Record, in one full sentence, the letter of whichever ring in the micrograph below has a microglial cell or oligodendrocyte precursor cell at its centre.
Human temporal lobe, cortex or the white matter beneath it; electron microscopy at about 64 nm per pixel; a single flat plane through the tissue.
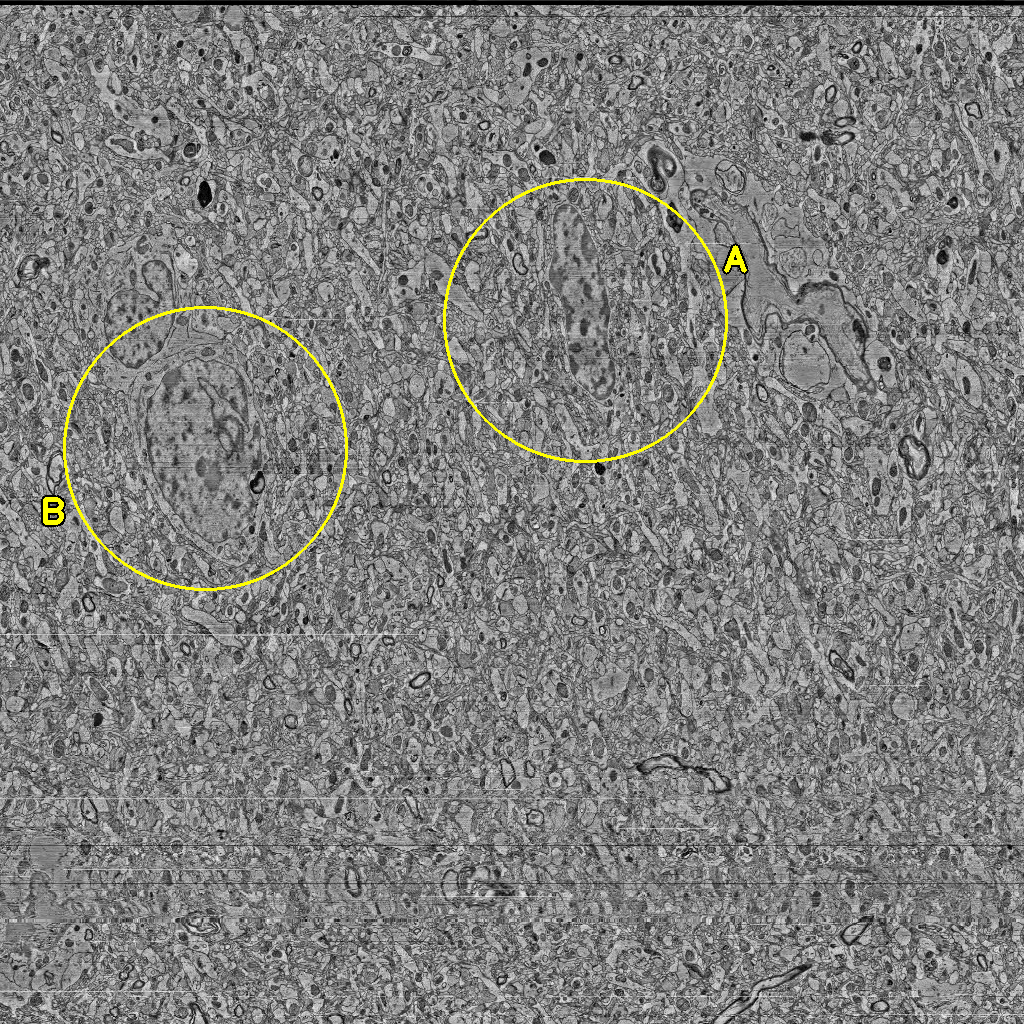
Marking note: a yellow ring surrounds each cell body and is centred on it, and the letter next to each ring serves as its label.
For the cell asked for, the ring centred on it carries the letter A.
